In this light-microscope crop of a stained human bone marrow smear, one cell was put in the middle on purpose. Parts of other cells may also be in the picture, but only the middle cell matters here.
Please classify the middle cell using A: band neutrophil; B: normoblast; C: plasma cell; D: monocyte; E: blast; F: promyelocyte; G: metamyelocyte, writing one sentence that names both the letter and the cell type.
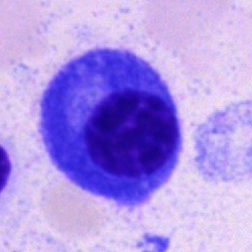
In this crop the middle cell is a plasma cell, so option C is the correct answer.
